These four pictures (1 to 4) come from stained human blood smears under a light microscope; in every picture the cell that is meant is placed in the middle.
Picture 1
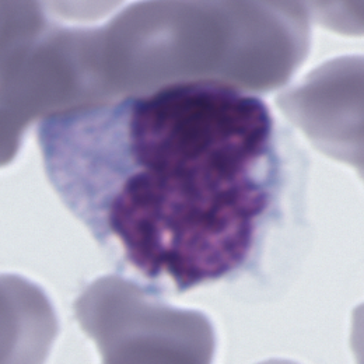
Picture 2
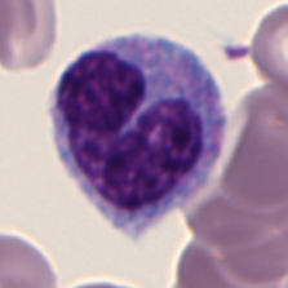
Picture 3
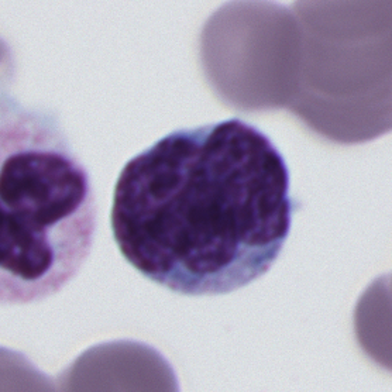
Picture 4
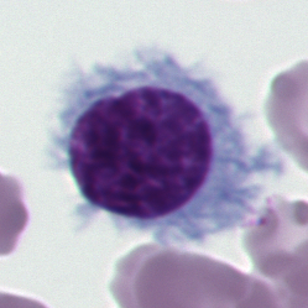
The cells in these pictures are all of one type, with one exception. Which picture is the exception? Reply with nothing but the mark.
4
